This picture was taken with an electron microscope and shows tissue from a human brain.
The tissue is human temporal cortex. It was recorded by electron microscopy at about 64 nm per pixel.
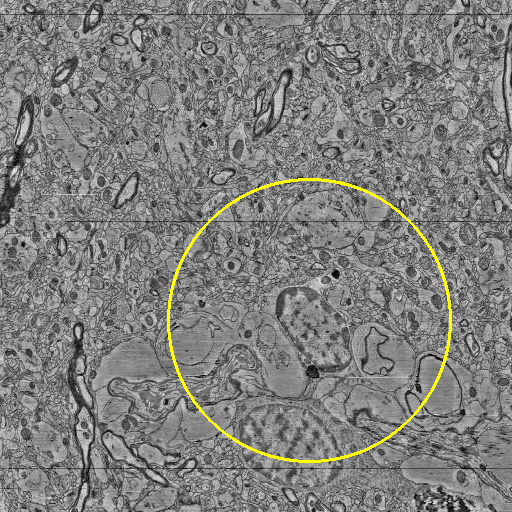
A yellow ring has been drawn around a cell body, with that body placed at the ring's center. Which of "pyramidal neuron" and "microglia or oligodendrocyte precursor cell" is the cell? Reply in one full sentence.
In this picture, a microglial cell or oligodendrocyte precursor cell is the cell at the center of the yellow ring.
